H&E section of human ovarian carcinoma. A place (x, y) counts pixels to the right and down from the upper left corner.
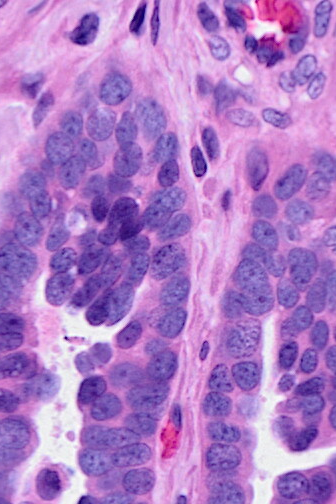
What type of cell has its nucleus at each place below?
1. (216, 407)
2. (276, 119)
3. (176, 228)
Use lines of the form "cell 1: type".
cell 1: carcinoma cell
cell 2: fibroblast
cell 3: carcinoma cell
